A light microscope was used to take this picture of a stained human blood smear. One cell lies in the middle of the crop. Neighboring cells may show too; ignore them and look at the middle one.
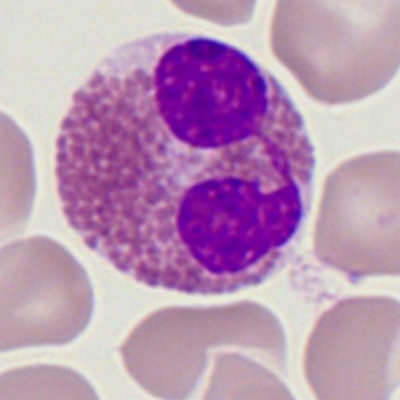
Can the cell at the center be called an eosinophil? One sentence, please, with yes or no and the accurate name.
Yes, the centered cell in this field is an eosinophil.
